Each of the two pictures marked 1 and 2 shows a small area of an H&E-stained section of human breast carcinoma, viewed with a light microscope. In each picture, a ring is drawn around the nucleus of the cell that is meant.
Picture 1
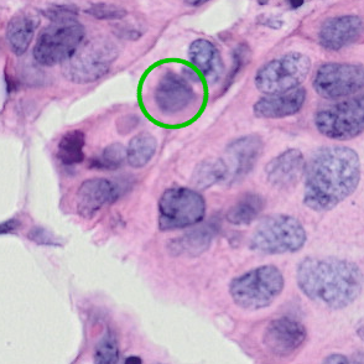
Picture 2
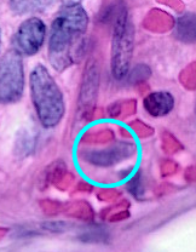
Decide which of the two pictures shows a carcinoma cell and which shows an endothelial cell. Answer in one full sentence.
The cell in picture 1 is a carcinoma cell, and the one in picture 2 is an endothelial cell.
